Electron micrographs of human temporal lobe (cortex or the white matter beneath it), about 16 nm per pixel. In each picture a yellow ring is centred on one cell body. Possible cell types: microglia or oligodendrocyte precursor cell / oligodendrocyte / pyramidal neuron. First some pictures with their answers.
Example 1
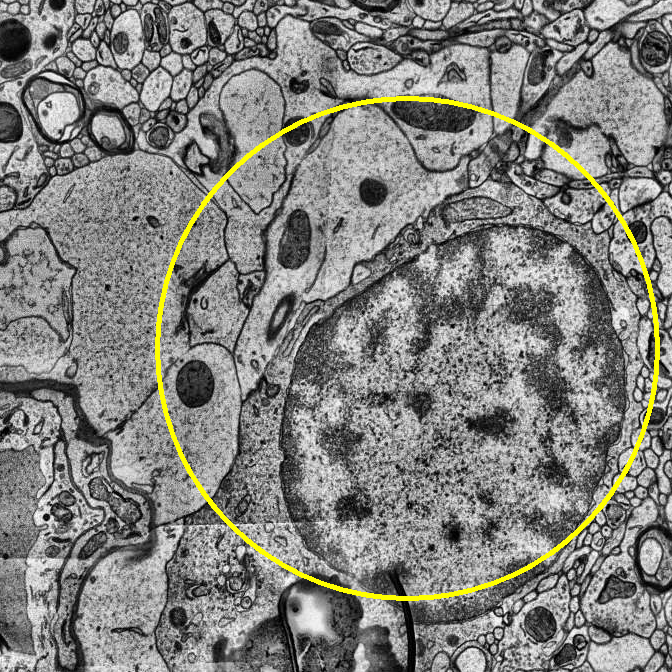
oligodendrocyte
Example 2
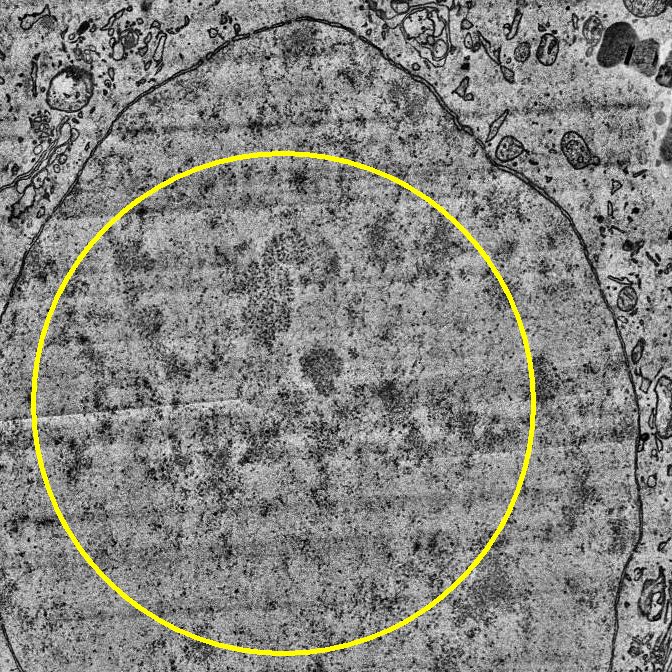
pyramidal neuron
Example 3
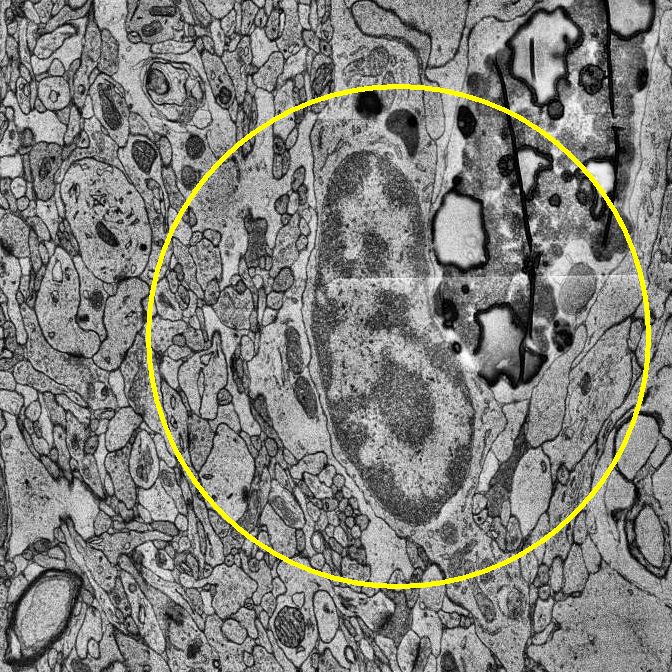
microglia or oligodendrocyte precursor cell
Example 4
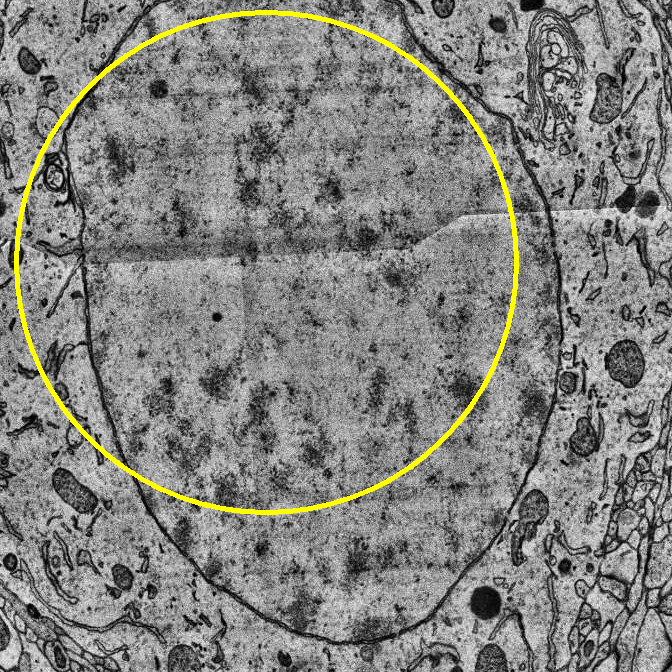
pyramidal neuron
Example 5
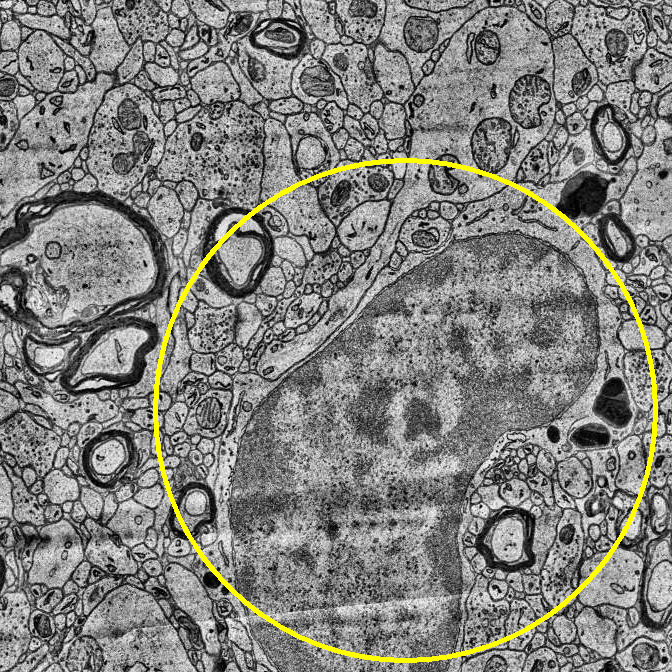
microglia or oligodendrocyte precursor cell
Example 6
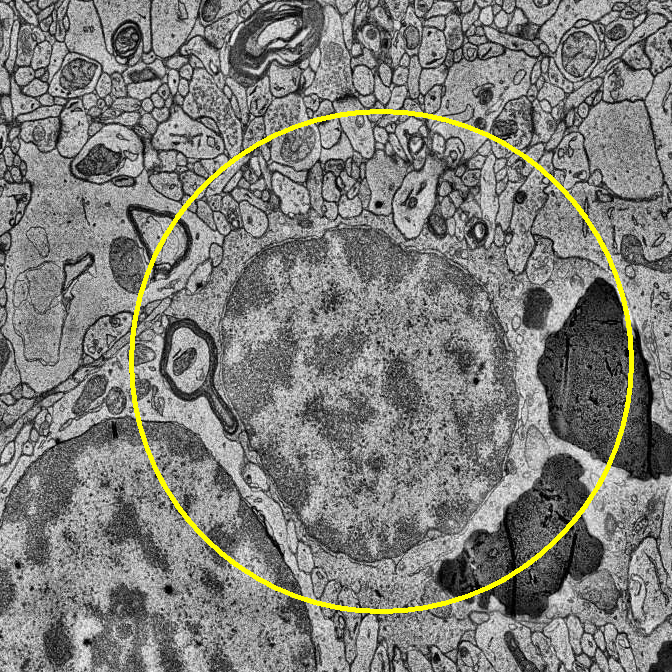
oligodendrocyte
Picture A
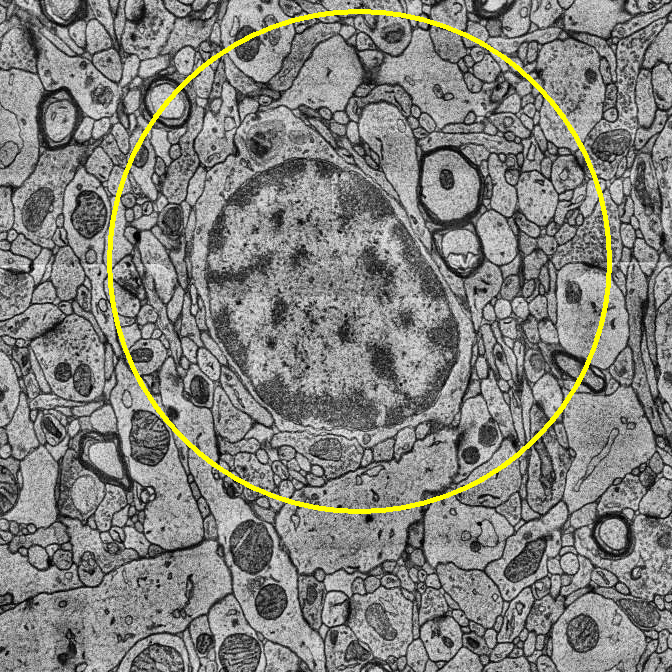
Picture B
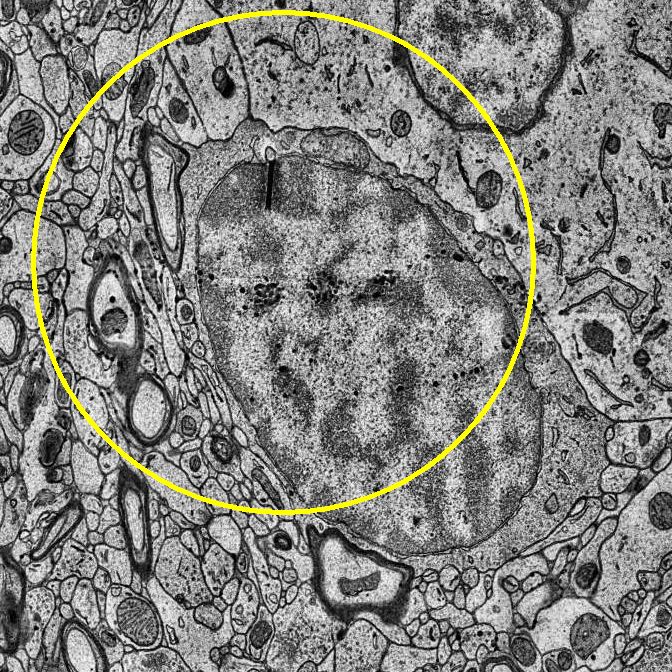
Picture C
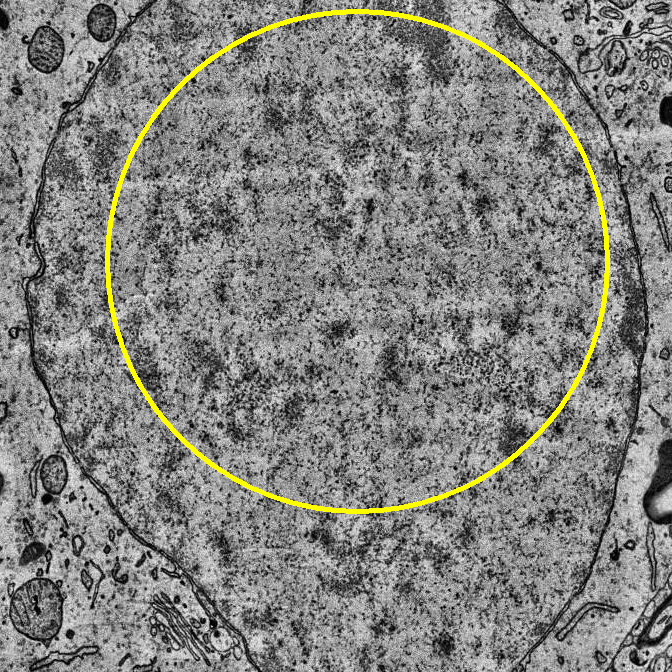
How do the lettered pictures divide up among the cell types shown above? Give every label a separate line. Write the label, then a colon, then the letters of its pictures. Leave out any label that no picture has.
microglia or oligodendrocyte precursor cell: A
oligodendrocyte: B
pyramidal neuron: C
